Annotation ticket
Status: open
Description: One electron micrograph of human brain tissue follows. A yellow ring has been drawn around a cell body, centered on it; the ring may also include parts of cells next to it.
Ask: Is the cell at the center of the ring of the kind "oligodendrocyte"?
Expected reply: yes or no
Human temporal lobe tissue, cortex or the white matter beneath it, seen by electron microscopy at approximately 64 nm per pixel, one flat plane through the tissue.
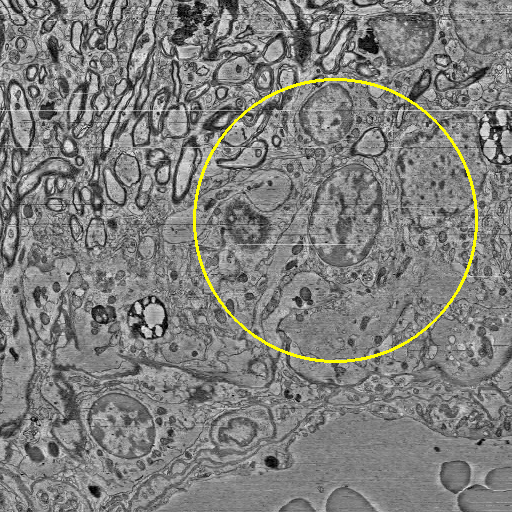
no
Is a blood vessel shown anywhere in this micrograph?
Yes, there is a blood vessel in the image.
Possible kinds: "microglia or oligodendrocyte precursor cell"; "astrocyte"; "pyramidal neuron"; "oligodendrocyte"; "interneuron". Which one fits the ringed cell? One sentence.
As it turns out, the cell at the ring centre is a microglial cell or oligodendrocyte precursor cell.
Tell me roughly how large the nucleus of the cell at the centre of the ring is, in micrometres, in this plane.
In this plane, approximately 7 by 4 micrometers, and clearly longer than it is wide.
